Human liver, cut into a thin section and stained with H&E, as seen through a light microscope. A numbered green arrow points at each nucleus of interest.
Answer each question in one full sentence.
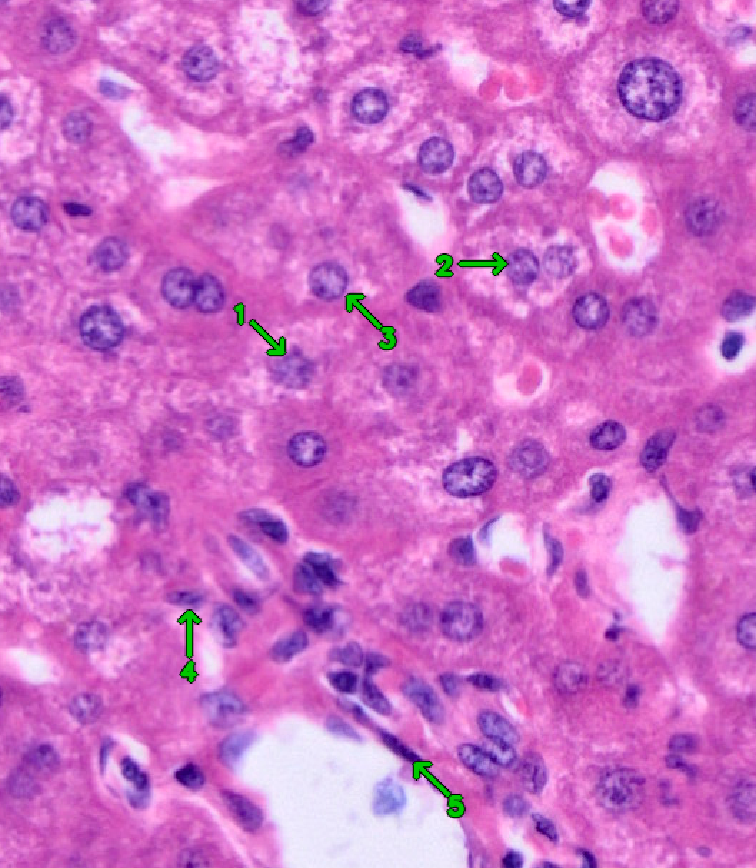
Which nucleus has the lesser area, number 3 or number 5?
With nucleus 3 about 2.5 times its size, nucleus 5 is the smaller of the two.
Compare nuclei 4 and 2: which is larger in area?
Of the two, number 2 is bigger and takes up about 1.5 times the area of number 4.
